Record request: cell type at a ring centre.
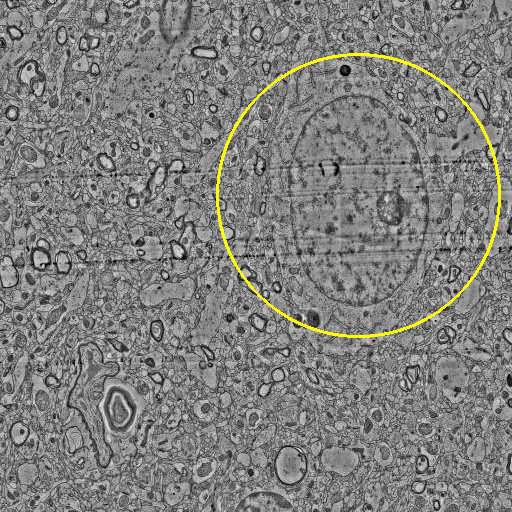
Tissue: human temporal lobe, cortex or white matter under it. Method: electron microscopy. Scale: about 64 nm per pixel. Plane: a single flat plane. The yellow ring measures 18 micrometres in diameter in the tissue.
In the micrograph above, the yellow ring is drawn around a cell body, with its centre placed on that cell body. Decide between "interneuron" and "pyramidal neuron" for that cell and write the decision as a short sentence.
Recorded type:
The cell centred in the yellow ring is an interneuron.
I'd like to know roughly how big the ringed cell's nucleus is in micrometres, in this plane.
In this plane the nucleus measures roughly 13 by 9 micrometers.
